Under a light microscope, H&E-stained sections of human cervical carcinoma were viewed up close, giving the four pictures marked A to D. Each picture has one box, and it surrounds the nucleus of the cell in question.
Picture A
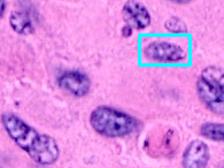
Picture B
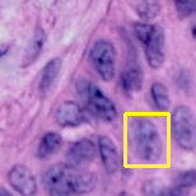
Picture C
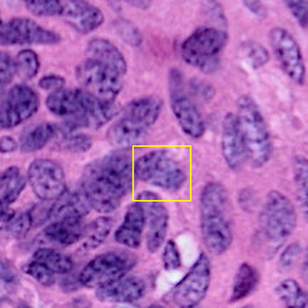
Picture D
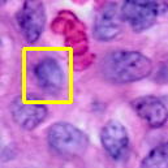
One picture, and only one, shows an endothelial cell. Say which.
D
